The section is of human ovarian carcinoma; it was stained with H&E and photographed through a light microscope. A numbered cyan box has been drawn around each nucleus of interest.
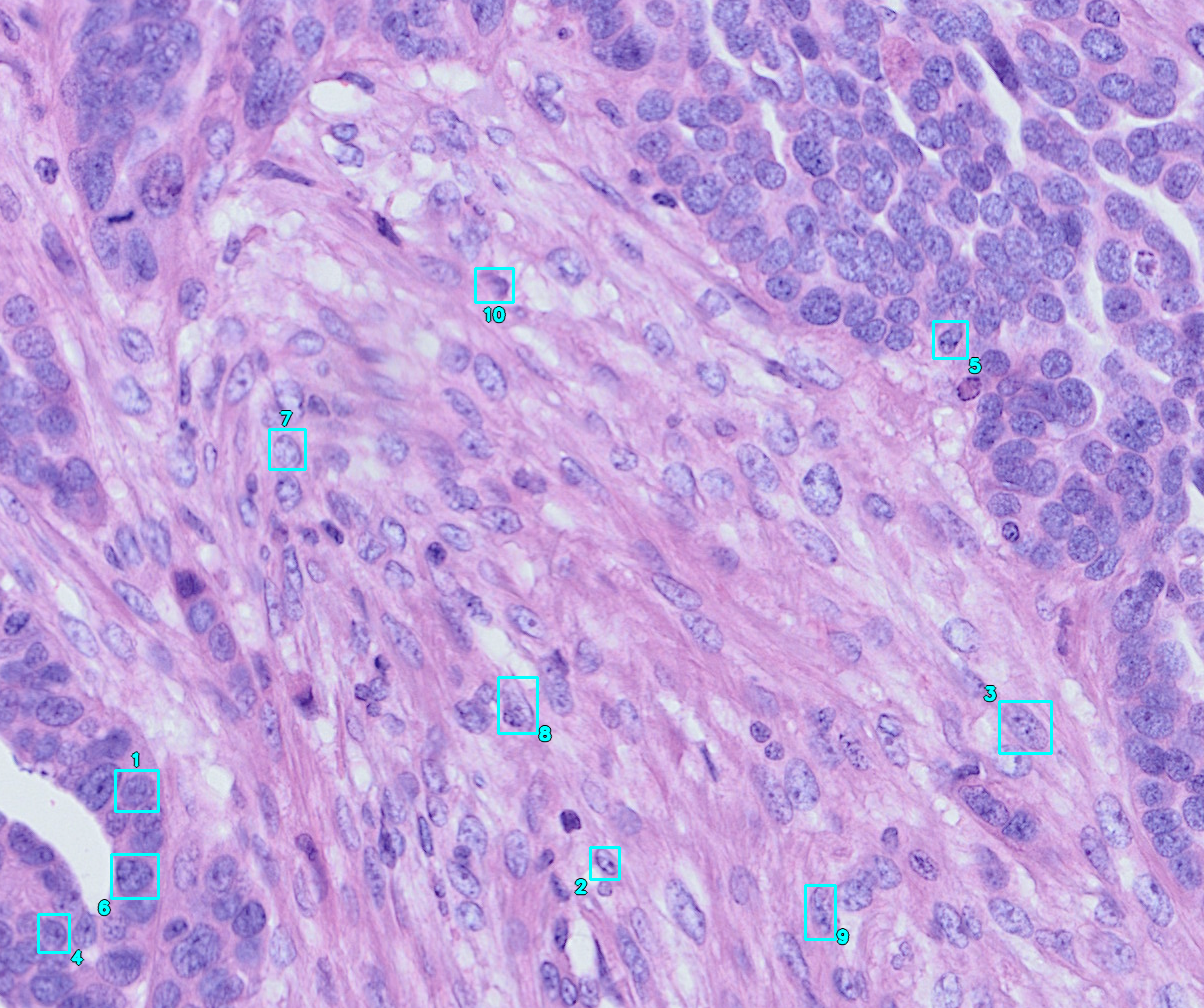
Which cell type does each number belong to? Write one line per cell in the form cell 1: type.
cell 1: carcinoma cell
cell 2: fibroblast
cell 3: fibroblast
cell 4: carcinoma cell
cell 5: macrophage or monocyte
cell 6: carcinoma cell
cell 7: fibroblast
cell 8: fibroblast
cell 9: fibroblast
cell 10: fibroblast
